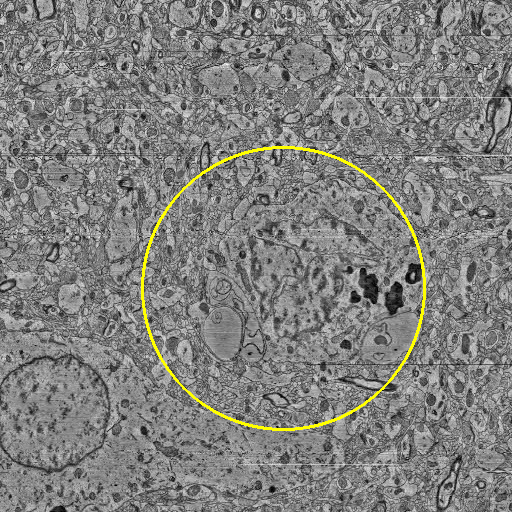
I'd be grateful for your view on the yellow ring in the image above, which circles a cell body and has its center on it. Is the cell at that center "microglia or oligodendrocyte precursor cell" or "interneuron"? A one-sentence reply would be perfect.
The cell at the center of the yellow ring is an interneuron.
